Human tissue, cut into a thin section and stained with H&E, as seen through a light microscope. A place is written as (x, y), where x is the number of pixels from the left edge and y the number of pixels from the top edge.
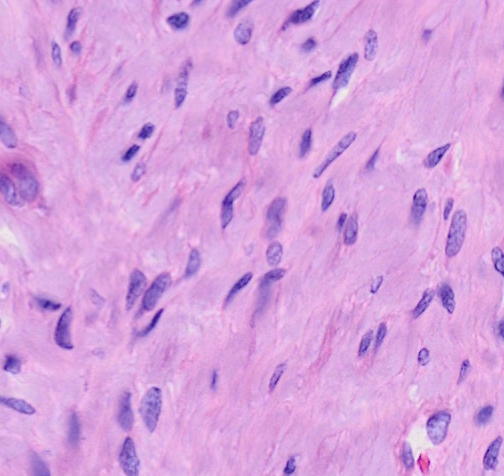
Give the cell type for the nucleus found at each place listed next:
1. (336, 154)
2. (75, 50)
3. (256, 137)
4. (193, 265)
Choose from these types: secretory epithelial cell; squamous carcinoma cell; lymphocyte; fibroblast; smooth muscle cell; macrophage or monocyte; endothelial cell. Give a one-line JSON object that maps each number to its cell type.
{"1": "fibroblast", "2": "smooth muscle cell", "3": "smooth muscle cell", "4": "fibroblast"}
